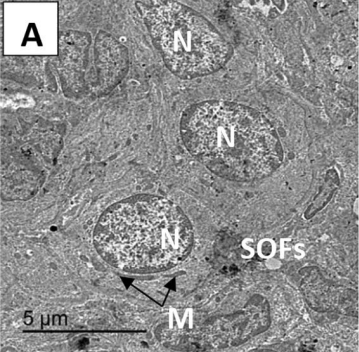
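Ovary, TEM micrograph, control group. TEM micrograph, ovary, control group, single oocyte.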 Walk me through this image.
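Ovarian follicle cells with large round nuclei bounded by a smooth, clear envelope and finely dispersed chromatin. Small mitochondria cluster near the nuclear envelope and are scattered through a dense, fibrillar cytoplasm; cells lie closely packed without gaps.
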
